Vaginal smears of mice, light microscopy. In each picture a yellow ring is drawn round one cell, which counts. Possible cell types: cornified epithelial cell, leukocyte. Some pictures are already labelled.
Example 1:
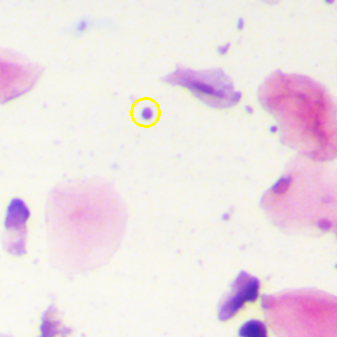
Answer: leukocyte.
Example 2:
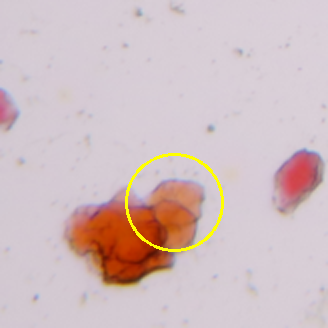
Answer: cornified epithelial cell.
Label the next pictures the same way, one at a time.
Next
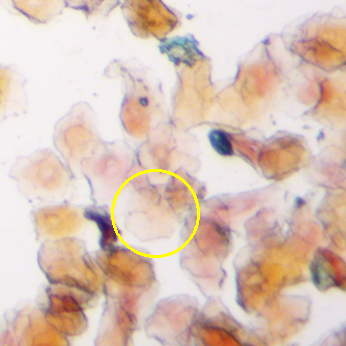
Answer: cornified epithelial cell.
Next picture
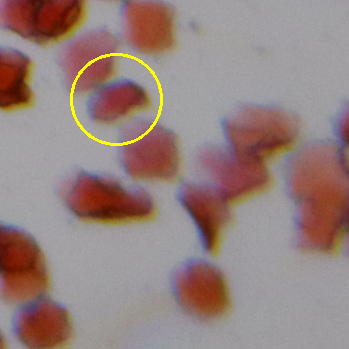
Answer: cornified epithelial cell.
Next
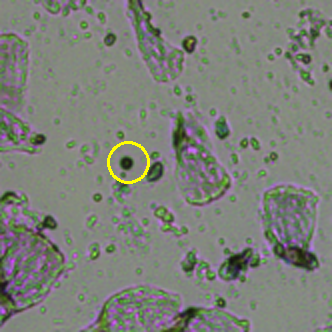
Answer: leukocyte.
